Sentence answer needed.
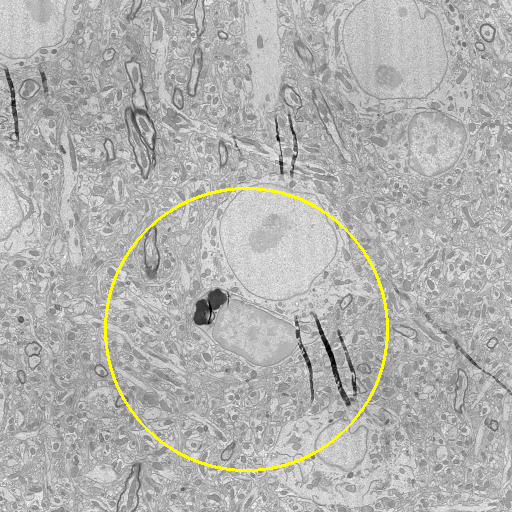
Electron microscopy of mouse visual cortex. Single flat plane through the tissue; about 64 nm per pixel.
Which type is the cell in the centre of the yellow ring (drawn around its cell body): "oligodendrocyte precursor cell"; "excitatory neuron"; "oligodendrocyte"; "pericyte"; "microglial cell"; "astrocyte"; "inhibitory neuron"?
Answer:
In the centre of the yellow ring is a microglial cell.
